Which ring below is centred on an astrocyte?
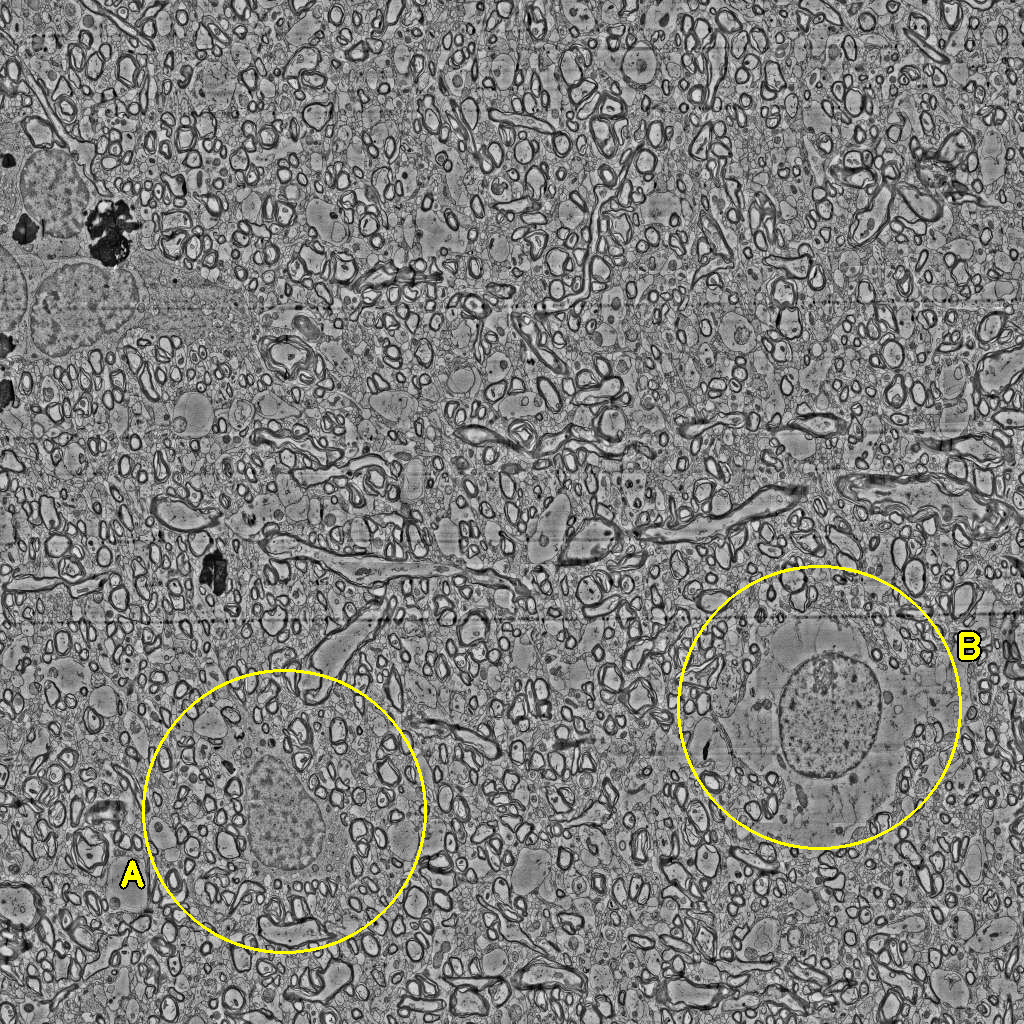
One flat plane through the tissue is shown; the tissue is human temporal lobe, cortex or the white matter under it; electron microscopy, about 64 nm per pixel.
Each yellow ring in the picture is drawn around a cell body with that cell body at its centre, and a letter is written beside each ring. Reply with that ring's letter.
B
